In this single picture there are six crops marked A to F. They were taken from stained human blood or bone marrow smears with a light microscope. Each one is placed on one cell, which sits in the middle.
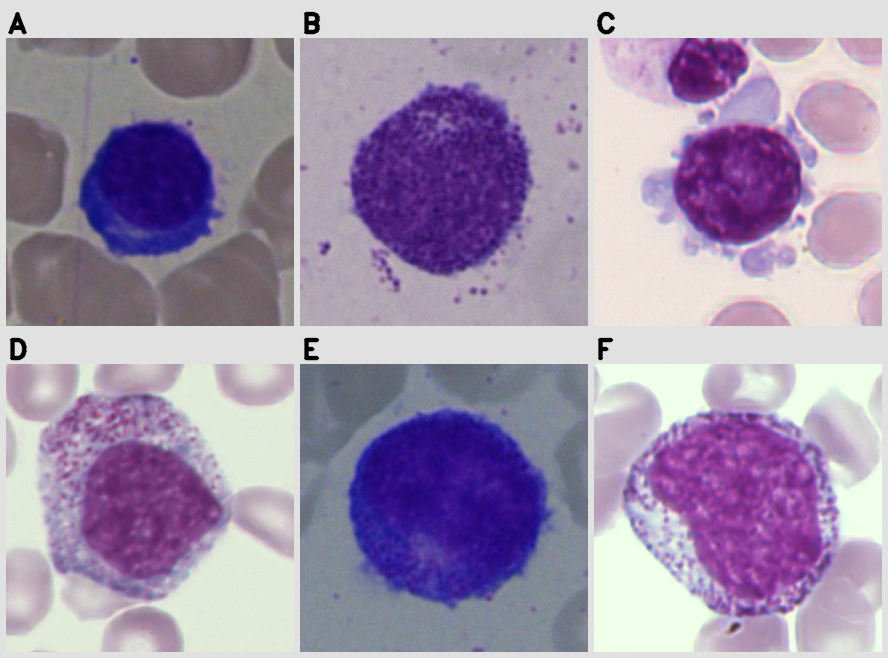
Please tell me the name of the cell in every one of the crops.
A: plasma cell
B: promyelocyte
C: plasma cell
D: promyelocyte
E: promyelocyte
F: myelocyte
